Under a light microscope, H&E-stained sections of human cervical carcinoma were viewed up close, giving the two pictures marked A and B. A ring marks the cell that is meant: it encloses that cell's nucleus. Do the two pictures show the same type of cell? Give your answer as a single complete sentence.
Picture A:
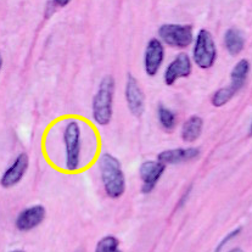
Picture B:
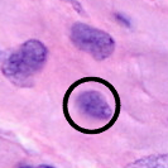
Yes, the two pictures both show fibroblasts.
